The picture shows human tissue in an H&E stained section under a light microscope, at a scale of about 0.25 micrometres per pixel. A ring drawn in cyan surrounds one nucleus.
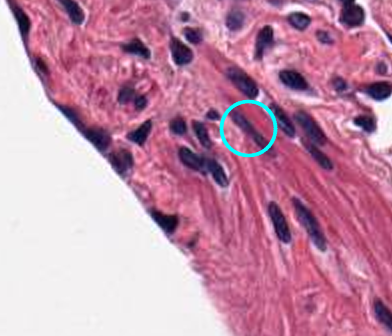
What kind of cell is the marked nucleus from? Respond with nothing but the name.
smooth muscle cell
